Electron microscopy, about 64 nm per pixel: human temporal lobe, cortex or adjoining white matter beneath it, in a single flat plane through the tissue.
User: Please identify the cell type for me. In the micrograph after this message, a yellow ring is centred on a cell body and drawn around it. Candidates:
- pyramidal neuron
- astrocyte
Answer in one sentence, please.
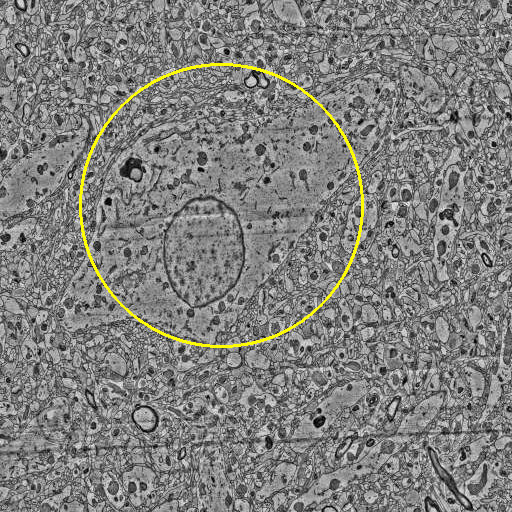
The ring is drawn around the cell body of a pyramidal neuron.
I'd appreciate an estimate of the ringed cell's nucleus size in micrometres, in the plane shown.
In this plane the nucleus measures roughly 7 by 5 micrometres.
